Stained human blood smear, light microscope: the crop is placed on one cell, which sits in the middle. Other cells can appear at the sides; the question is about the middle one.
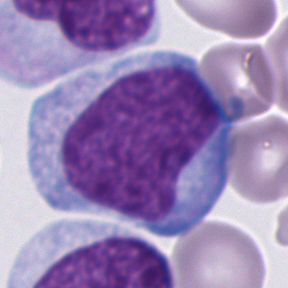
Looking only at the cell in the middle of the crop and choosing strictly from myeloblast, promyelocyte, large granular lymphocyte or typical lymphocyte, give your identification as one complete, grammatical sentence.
This crop has a promyelocyte at its centre.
